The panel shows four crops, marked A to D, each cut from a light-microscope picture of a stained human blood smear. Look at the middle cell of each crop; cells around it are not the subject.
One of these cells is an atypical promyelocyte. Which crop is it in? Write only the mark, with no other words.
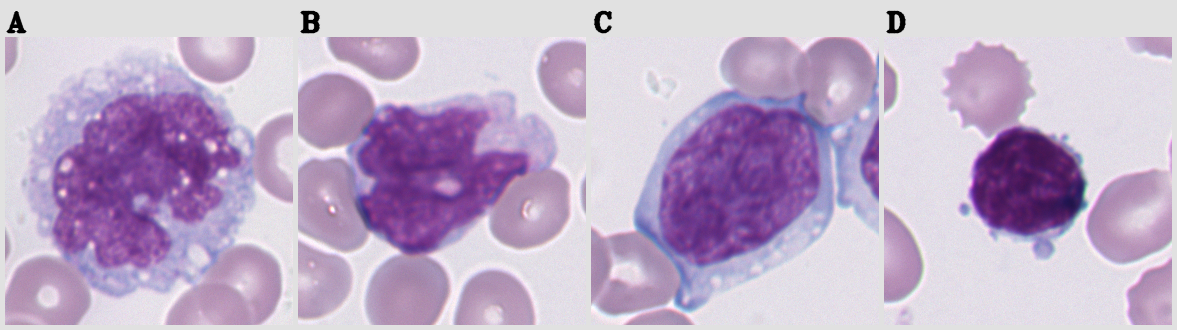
B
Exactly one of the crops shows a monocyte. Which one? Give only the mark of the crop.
A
